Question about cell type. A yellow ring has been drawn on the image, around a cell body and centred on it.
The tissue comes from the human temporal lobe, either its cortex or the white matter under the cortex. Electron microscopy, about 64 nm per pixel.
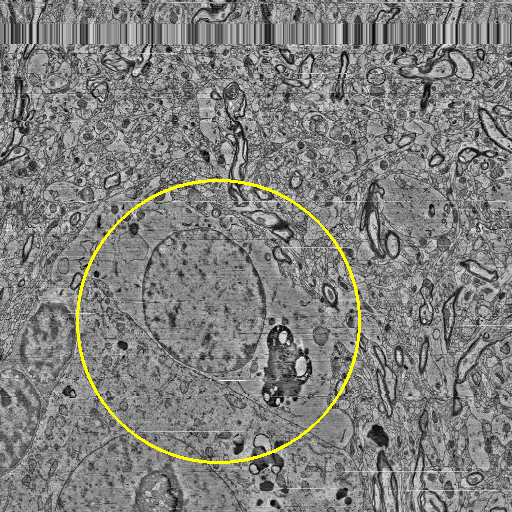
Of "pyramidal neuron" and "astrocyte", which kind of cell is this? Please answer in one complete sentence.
At the centre of the ring lies an astrocyte.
